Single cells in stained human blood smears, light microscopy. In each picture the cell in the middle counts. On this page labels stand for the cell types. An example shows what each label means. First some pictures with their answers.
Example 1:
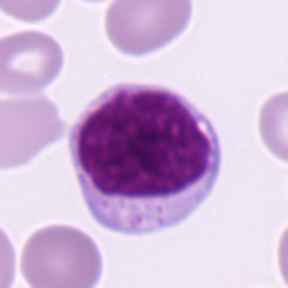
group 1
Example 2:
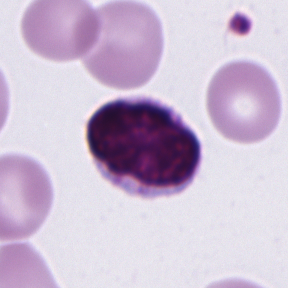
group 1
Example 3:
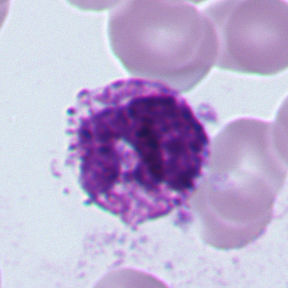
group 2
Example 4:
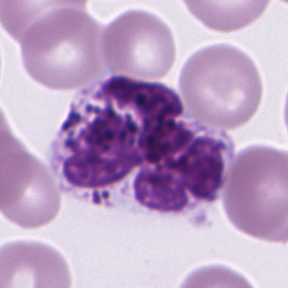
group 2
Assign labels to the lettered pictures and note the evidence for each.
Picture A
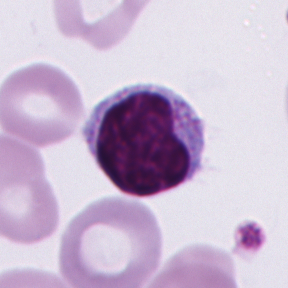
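group 1. Reason: Fine purple granules are scattered through the cytoplasm.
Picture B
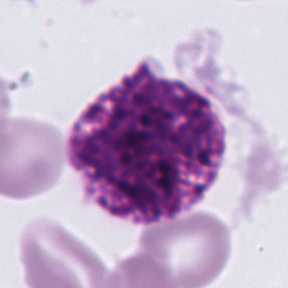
group 2. Reason: Coarse dark purple granules are packed across the whole cell.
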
